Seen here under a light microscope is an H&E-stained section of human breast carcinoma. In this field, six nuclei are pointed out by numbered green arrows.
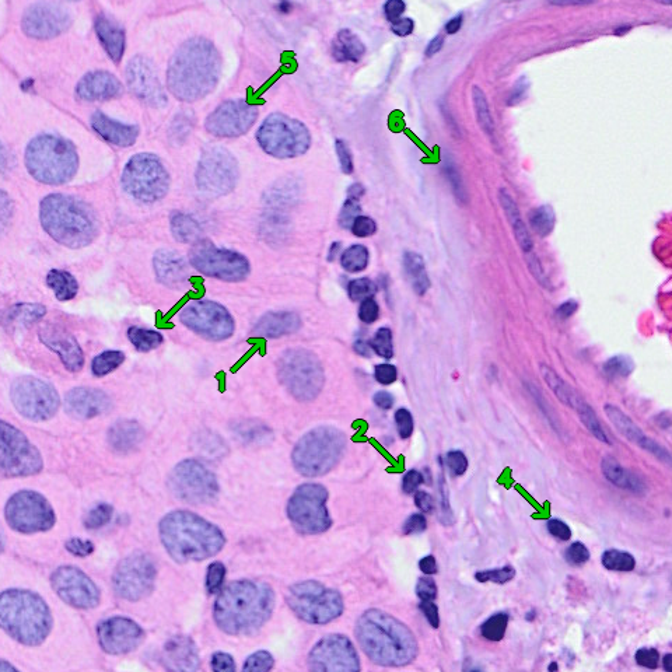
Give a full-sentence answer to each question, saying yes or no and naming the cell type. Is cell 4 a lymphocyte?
Yes, as for number 4, the cell is a lymphocyte.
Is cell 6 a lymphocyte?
No, the cell bearing number 6 is not a lymphocyte but an endothelial cell.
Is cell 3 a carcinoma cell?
No, cell 3 is not to be taken for a carcinoma cell; it is a lymphocyte.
